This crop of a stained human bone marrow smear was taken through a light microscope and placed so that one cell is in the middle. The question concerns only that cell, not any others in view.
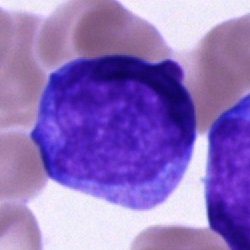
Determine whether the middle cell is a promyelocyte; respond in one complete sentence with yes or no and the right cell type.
No, the cell in the middle of the crop counts as a blast and not as a promyelocyte.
